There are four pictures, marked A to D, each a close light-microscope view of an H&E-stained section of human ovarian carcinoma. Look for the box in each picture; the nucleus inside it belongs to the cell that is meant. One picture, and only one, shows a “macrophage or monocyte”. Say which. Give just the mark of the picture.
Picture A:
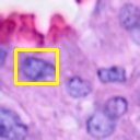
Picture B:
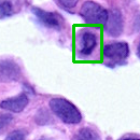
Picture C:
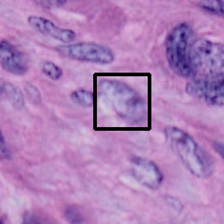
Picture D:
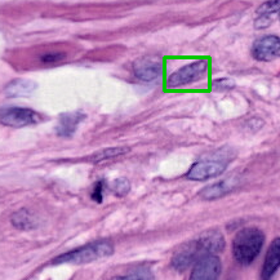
B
